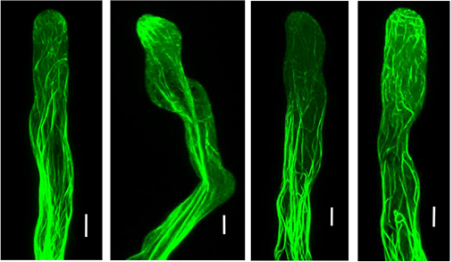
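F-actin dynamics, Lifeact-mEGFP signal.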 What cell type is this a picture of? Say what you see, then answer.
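Each image shows a single long, narrow tubular cell with a rounded, dome-shaped end. Green filaments run lengthwise along the tube toward the rounded end. That points to this answer: pollen tubes.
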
